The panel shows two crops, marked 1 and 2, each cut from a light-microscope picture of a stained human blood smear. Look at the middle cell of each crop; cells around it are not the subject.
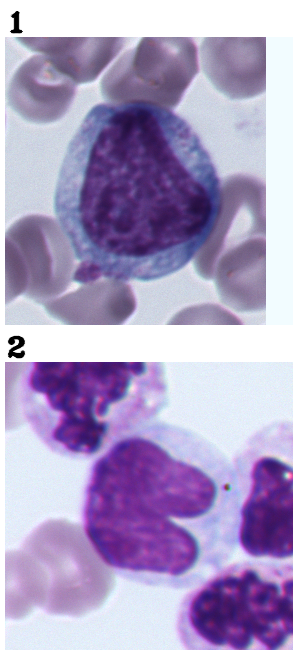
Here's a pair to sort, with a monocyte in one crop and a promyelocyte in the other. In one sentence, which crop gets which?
The cell in crop 1 is a promyelocyte, and the one in crop 2 is a monocyte.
